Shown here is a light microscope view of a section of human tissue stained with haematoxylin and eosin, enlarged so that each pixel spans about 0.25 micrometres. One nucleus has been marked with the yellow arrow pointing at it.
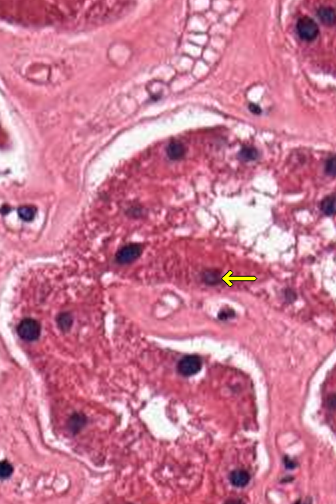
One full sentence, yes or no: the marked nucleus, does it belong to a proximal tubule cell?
Yes, the marked nucleus is present within a proximal tubule cell.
